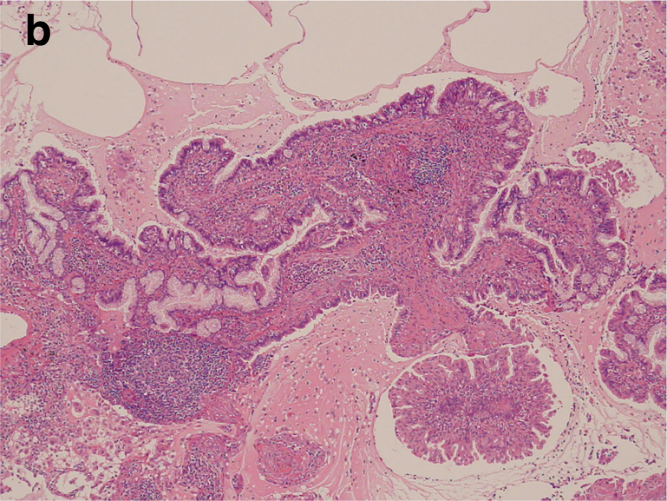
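At low power the tumor is built of branching papillomatous fronds, each with a pink fibrovascular core covered by a dark purple lining of pseudostratified columnar epithelium. The fronds project into pale spaces that hold faintly stained material. In places the core holds dense clusters of small dark nuclei. At the top, thin-walled open air spaces of surrounding lung can be seen.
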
